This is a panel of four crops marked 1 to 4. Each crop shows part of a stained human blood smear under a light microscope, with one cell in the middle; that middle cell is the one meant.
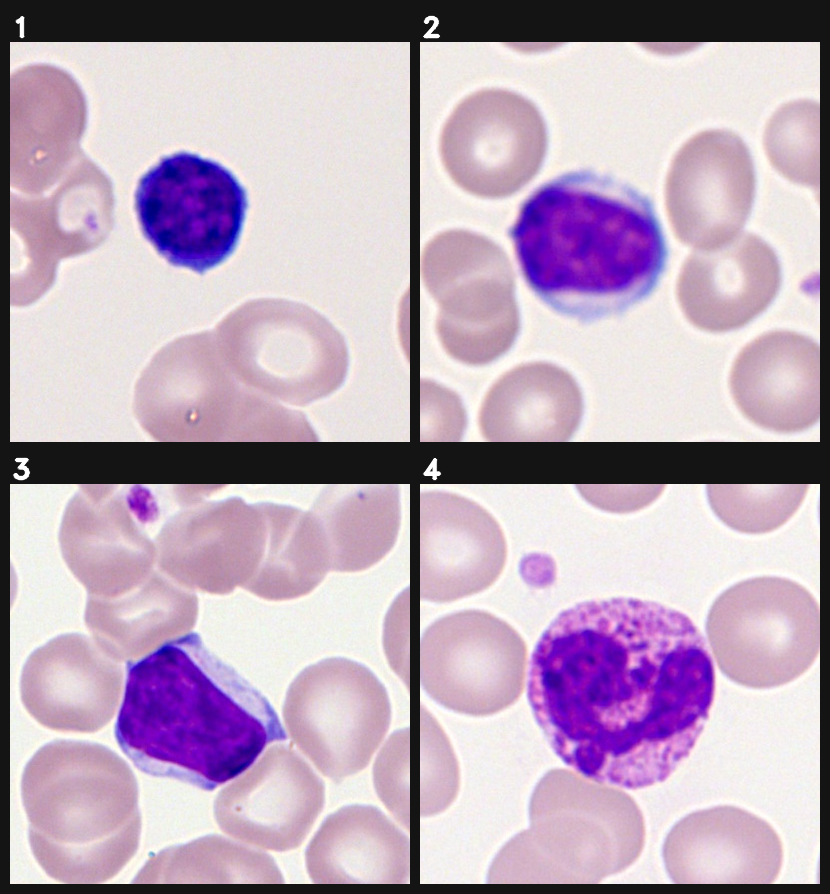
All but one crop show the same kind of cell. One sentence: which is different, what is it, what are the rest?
Of all the crops, only crop 4 shows a basophil; the others show lymphocytes.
